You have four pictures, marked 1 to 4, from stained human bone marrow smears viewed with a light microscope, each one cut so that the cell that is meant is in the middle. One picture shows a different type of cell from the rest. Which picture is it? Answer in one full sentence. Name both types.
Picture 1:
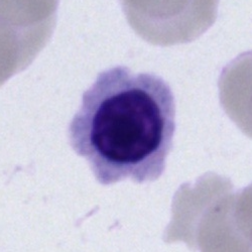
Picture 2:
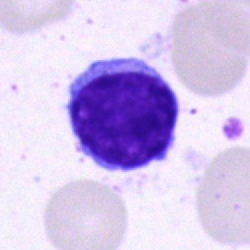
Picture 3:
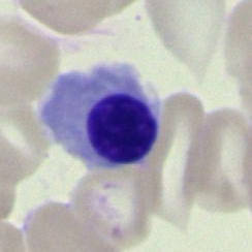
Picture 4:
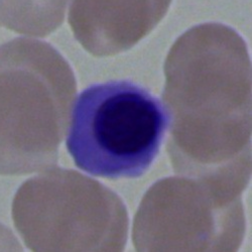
The different one is picture 2; it shows a lymphocyte, whereas all the others show erythroblasts.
